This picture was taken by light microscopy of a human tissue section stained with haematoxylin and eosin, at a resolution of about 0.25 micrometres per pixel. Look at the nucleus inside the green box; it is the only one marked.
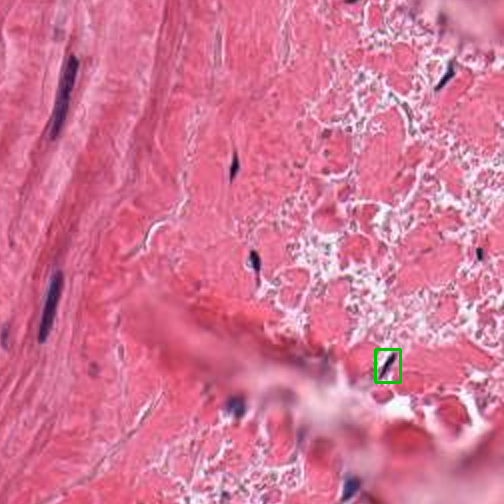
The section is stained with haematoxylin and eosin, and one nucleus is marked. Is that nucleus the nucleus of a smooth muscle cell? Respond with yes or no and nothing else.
no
